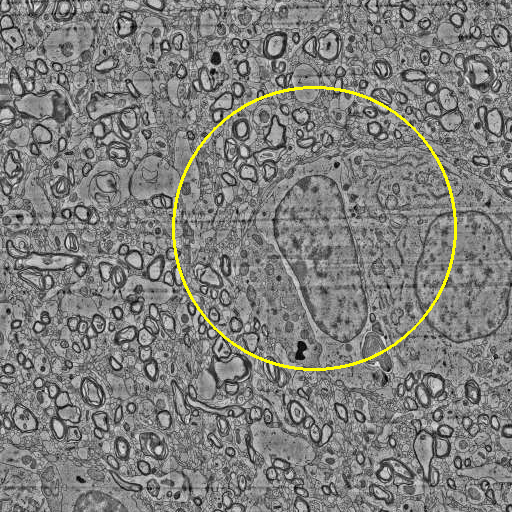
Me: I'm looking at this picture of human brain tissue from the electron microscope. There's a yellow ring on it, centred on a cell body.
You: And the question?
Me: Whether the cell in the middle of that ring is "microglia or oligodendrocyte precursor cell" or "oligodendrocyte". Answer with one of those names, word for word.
microglia or oligodendrocyte precursor cell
